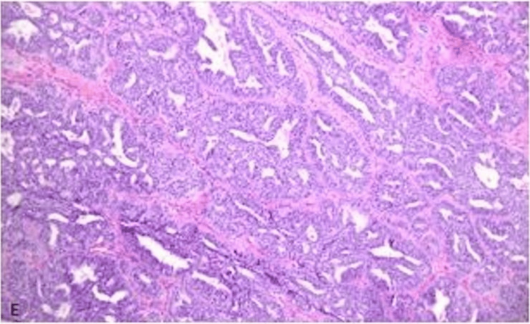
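Intermediate-power view of a tumor made of elongated, branching tubules lined by stratified low cuboidal epithelial cells with crowded purple nuclei. The tubules have narrow, slit-like or angular lumens and lie closely packed in roughly parallel rows. Thin pink fibrous bands run between groups of tubules.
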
